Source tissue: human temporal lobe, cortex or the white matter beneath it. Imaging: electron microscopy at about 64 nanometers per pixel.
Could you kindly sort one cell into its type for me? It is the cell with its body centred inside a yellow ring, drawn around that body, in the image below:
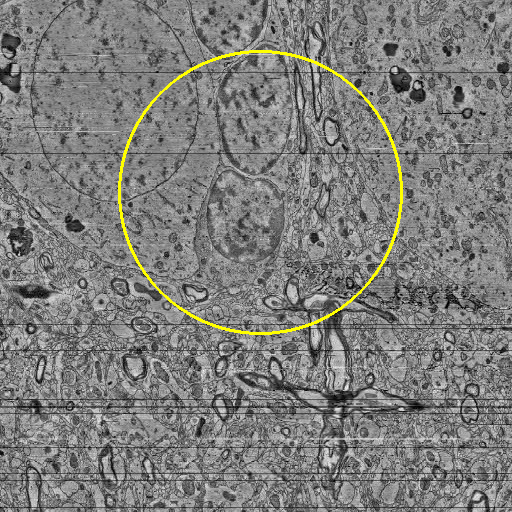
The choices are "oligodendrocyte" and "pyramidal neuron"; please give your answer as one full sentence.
The cell whose body lies centred in the yellow ring here is an oligodendrocyte.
